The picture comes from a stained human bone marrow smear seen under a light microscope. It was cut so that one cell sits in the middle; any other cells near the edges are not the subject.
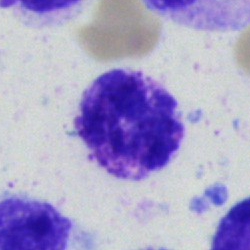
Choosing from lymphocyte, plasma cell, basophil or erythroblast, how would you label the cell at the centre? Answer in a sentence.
The crop's centre is taken up by a basophil.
